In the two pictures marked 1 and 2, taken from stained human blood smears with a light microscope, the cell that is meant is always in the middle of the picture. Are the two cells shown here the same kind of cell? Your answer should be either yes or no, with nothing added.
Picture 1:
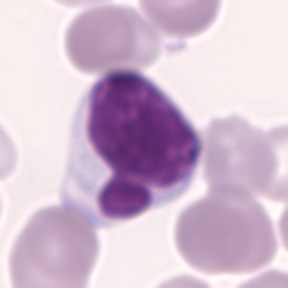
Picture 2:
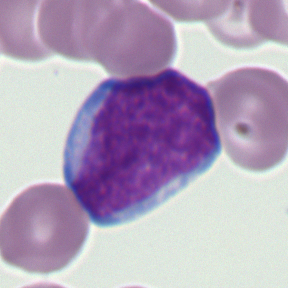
no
